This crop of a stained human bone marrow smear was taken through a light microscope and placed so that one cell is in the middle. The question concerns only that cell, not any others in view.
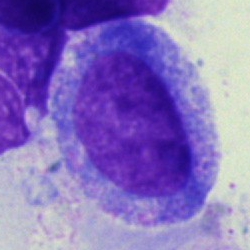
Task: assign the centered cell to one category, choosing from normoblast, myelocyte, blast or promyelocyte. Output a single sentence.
Centrally within this crop lies a promyelocyte.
